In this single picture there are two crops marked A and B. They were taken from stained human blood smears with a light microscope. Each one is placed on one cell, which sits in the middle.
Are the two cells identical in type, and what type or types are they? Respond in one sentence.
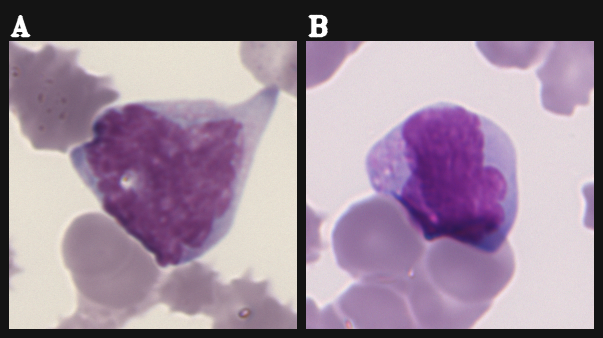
Yes, in the case of both crops, the central cells are blasts.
